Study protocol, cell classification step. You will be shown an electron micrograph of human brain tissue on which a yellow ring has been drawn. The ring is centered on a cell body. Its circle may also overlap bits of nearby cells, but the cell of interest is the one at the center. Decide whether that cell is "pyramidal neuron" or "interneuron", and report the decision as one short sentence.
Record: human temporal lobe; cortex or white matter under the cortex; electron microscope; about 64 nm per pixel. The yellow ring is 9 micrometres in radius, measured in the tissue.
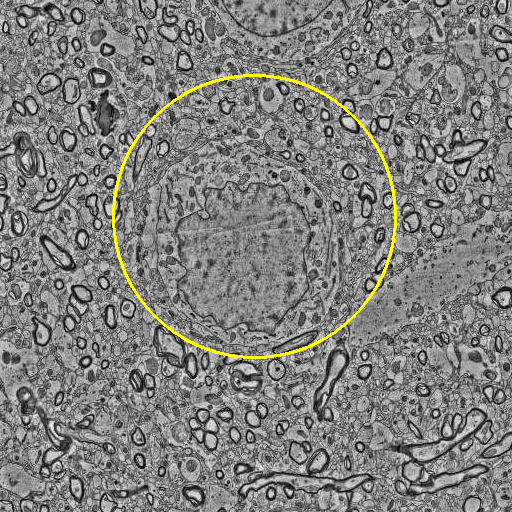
The marked cell is an interneuron.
